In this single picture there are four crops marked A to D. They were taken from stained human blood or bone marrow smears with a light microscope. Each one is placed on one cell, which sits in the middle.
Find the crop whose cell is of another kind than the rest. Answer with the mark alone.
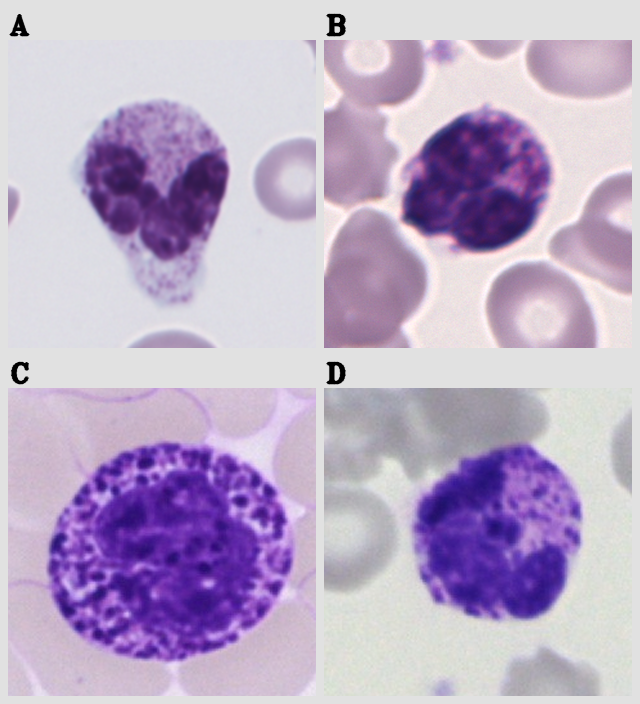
A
